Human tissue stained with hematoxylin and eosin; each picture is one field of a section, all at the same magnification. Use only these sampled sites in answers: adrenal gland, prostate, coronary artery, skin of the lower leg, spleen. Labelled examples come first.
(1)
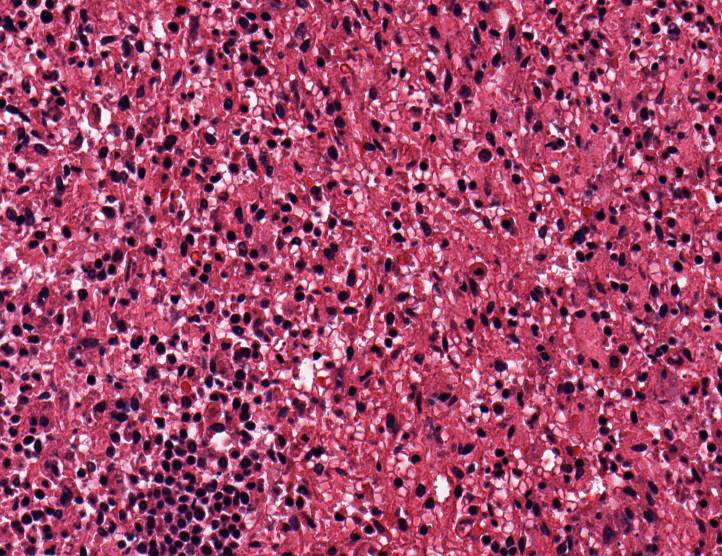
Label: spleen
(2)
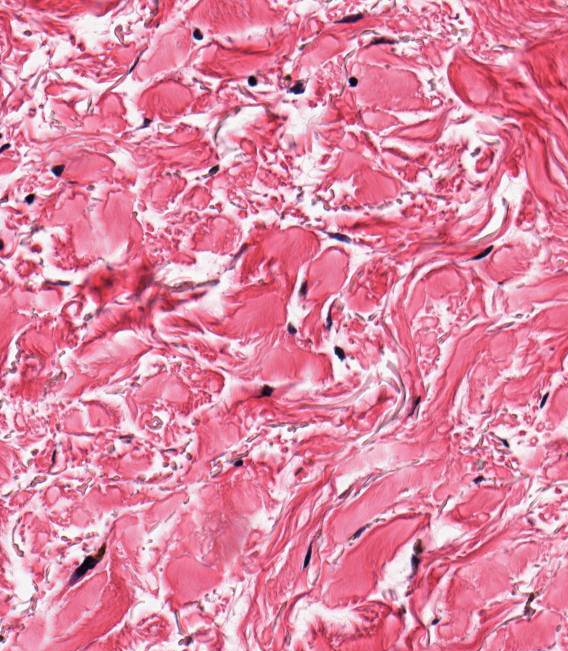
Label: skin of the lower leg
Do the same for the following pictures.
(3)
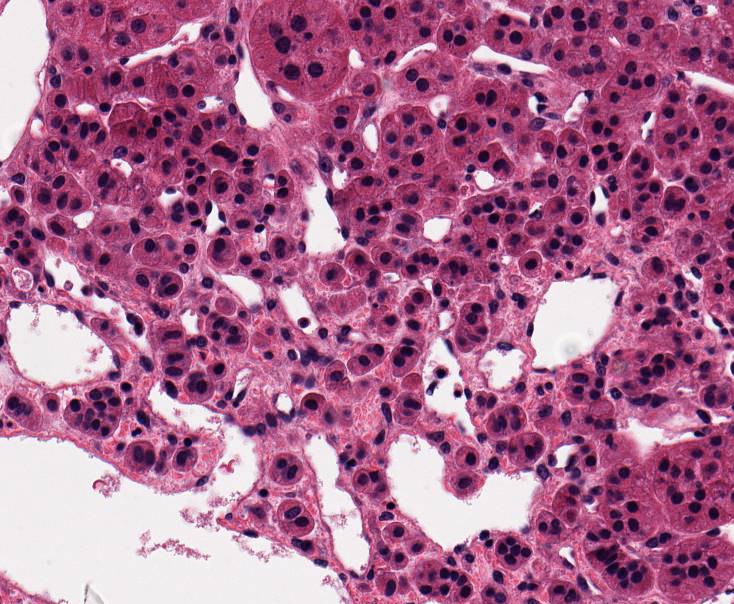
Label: adrenal gland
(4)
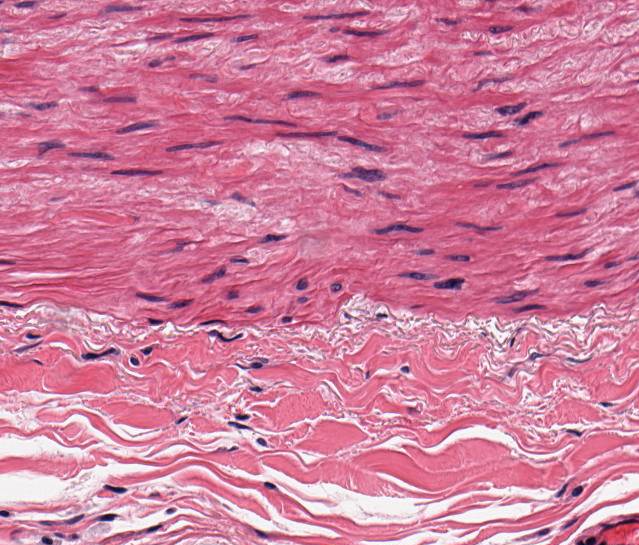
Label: coronary artery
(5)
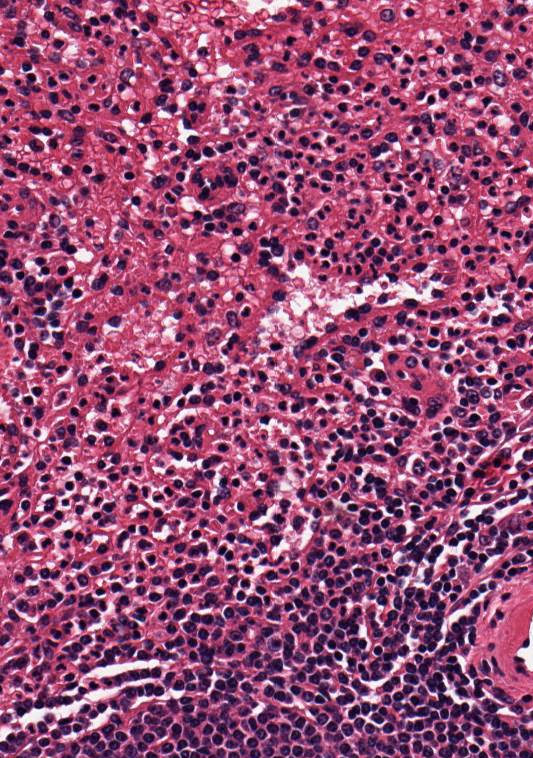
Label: spleen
